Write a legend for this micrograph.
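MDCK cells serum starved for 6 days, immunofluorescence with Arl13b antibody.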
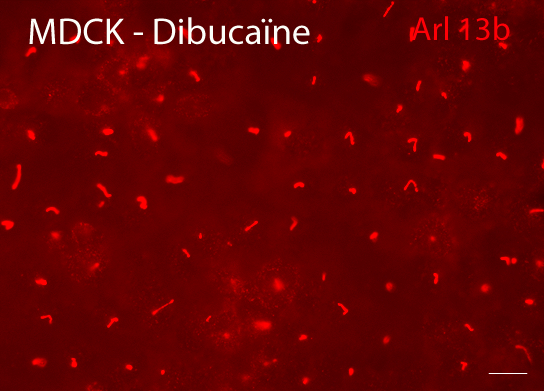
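This field shows a monolayer of cultured epithelial cells in which primary cilia stand out as bright red structures. Each cilium appears as a short rod, straight or slightly curved, and some look like dots or hooks depending on their angle. The cell bodies themselves are only faintly visible as a dim, diffuse red background with no distinct outlines.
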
